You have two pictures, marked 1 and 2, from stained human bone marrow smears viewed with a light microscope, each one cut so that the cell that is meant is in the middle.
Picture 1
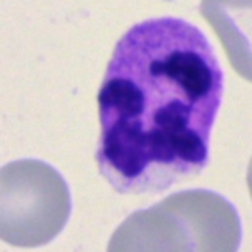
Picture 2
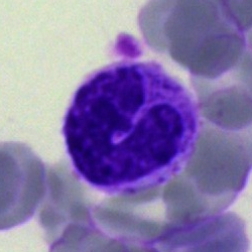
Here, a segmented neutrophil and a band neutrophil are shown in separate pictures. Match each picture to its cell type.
1: segmented neutrophil
2: band neutrophil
